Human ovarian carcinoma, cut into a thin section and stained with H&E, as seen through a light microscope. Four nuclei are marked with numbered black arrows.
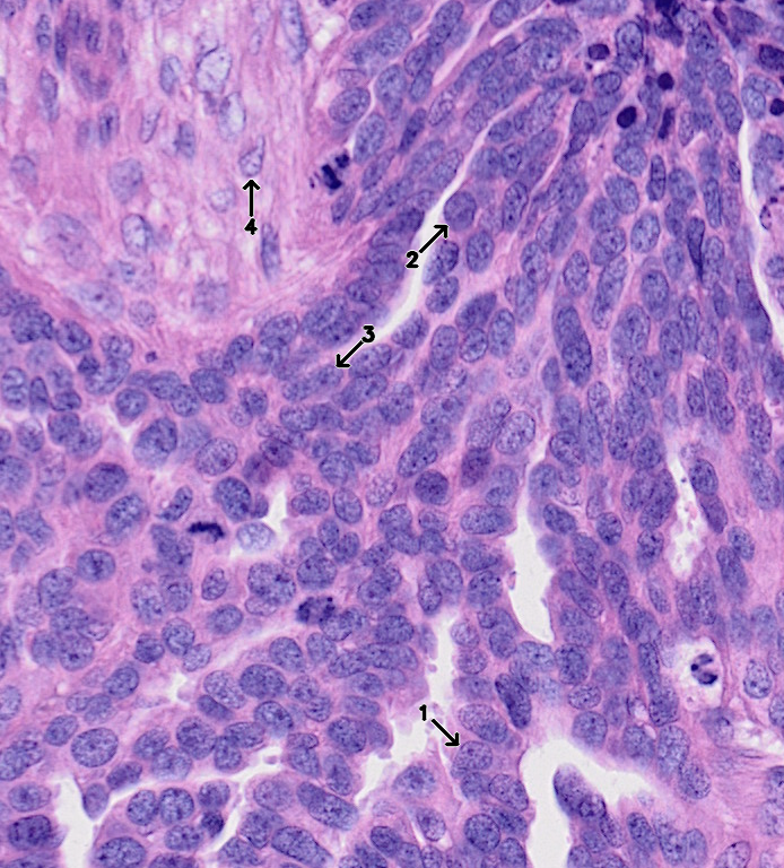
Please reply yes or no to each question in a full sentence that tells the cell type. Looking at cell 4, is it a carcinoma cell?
No, sorry, the cell labelled 4 is not a carcinoma cell; it is a fibroblast.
